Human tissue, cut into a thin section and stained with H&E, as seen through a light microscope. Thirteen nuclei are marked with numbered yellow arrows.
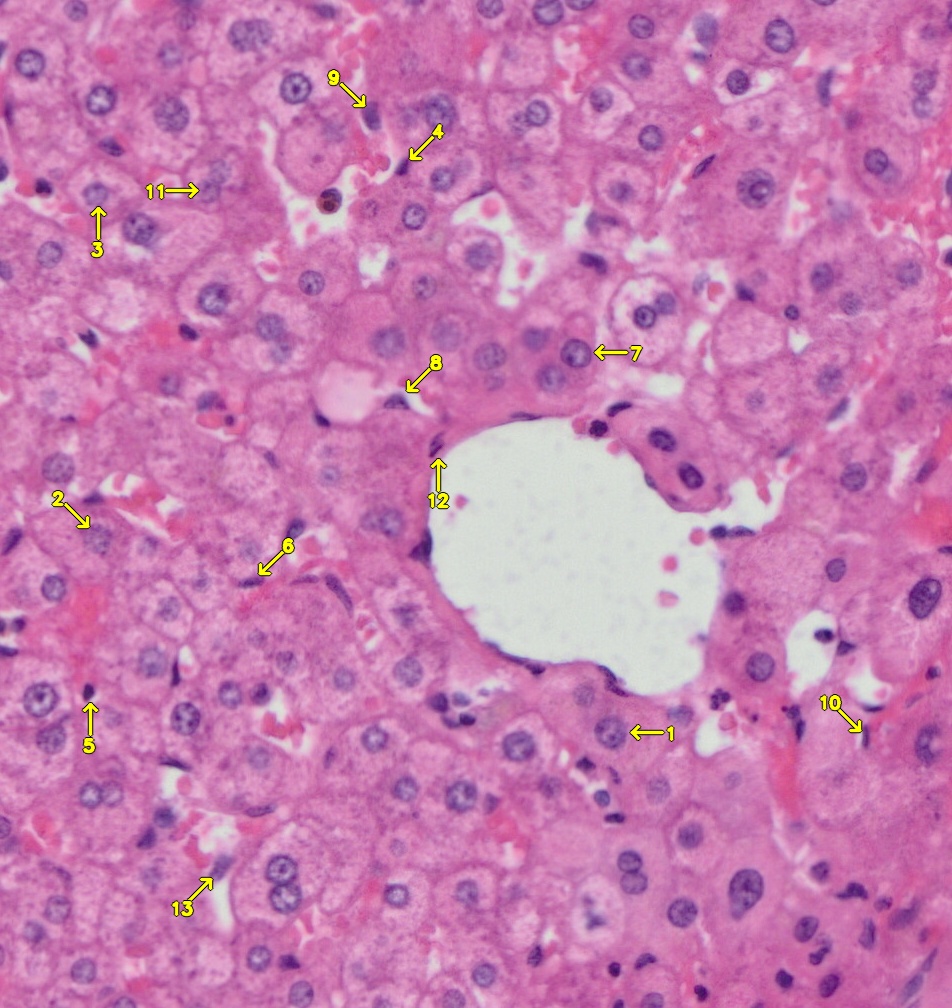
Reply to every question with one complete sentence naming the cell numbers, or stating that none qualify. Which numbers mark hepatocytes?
In this section, the cells numbered 1, 2, 3, 7 and 11 are hepatocytes.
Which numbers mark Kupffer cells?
The cells numbered 9 and 13 are typed as Kupffer cells.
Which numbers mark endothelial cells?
The cells numbered 6 and 8 are typed as endothelial cells.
